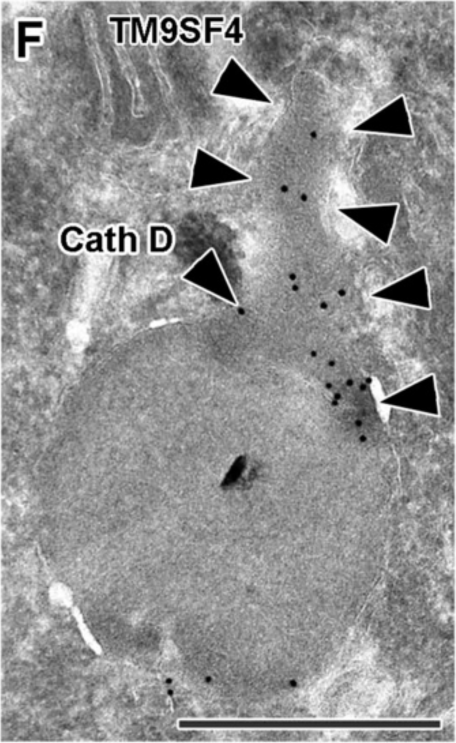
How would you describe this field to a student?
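A large round organelle with fine, evenly granular dense content fills the lower part of the field. From its upper side a narrower elongated extension runs upward, and small black gold particles are gathered along this extension and at its base. Surrounding cytoplasm holds membrane profiles and small vesicles.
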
